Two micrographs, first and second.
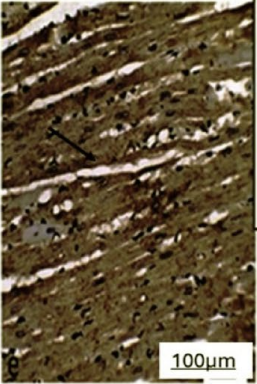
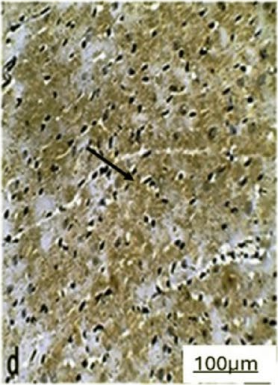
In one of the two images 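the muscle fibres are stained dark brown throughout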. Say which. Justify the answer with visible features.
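First image: fibres are uniformly dark brown. Second image: fibres are a lighter, patchy tan-brown with pale areas. So: the first image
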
